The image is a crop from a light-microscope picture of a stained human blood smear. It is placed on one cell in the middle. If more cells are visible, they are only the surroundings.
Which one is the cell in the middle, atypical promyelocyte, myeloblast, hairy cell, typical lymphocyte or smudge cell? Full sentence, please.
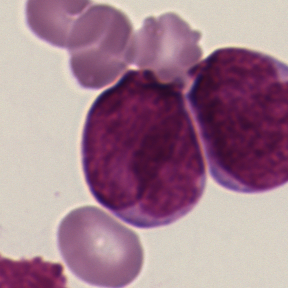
Here the cell in the middle is a myeloblast.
